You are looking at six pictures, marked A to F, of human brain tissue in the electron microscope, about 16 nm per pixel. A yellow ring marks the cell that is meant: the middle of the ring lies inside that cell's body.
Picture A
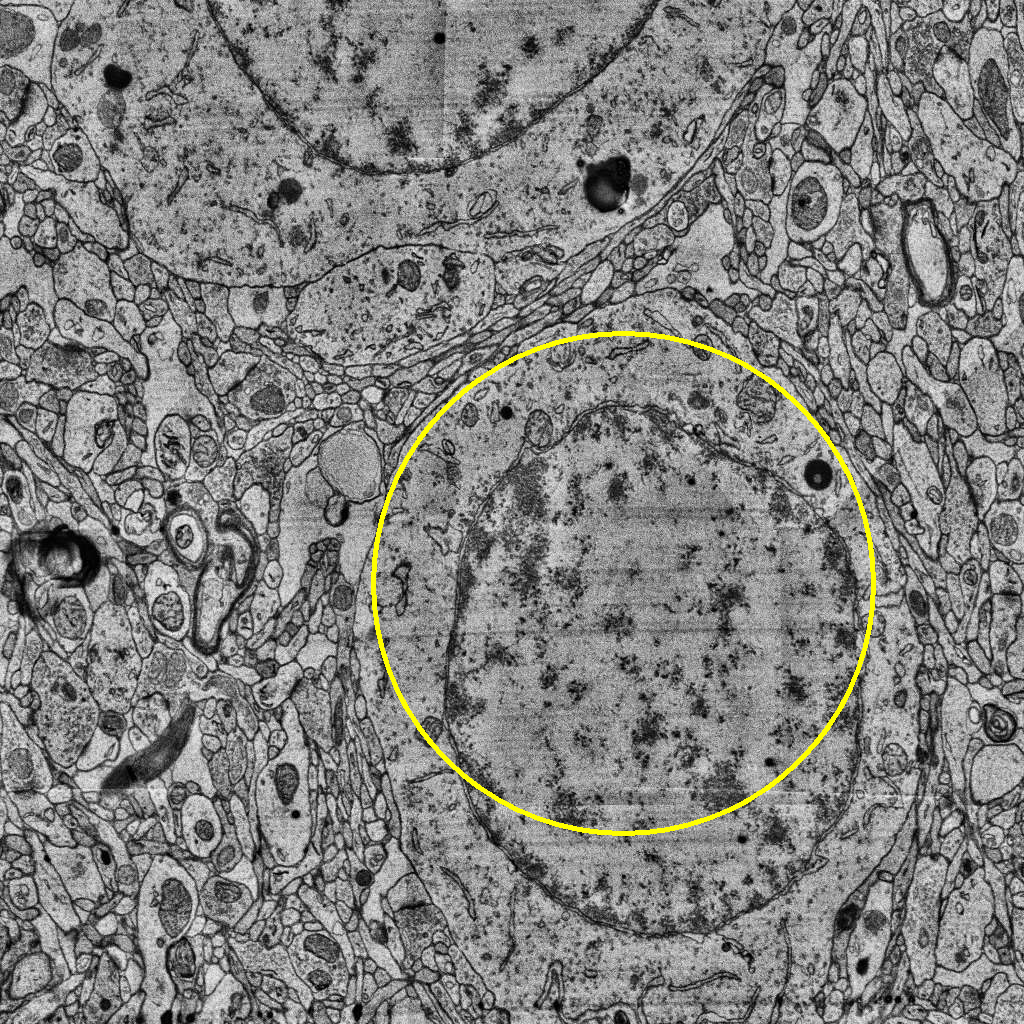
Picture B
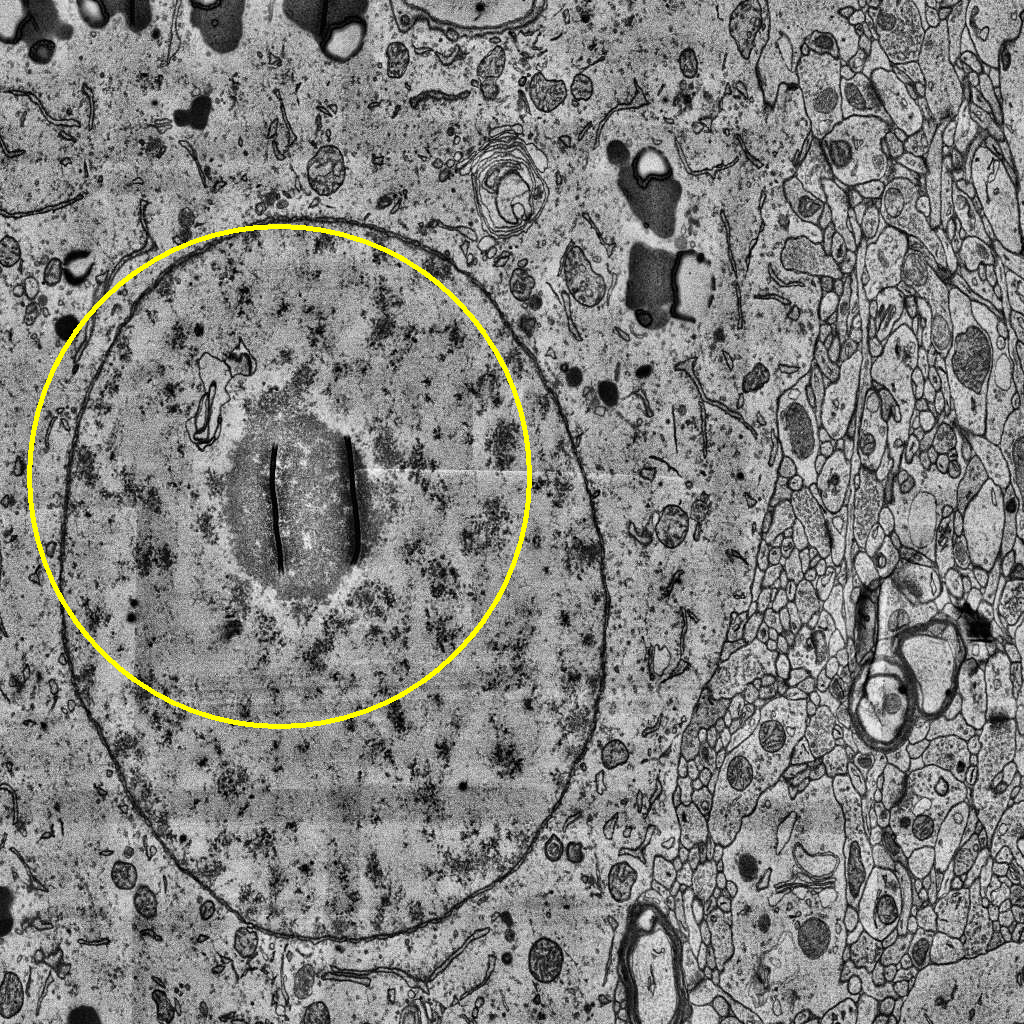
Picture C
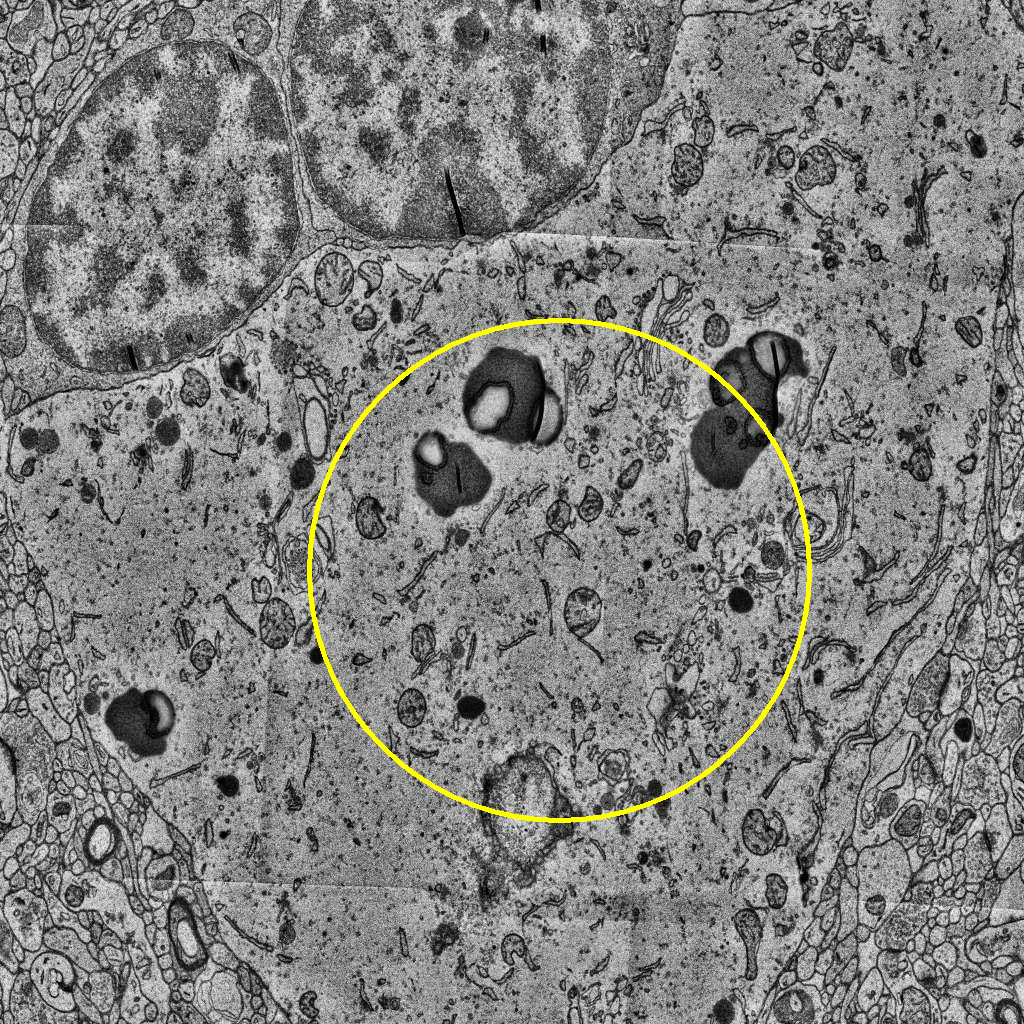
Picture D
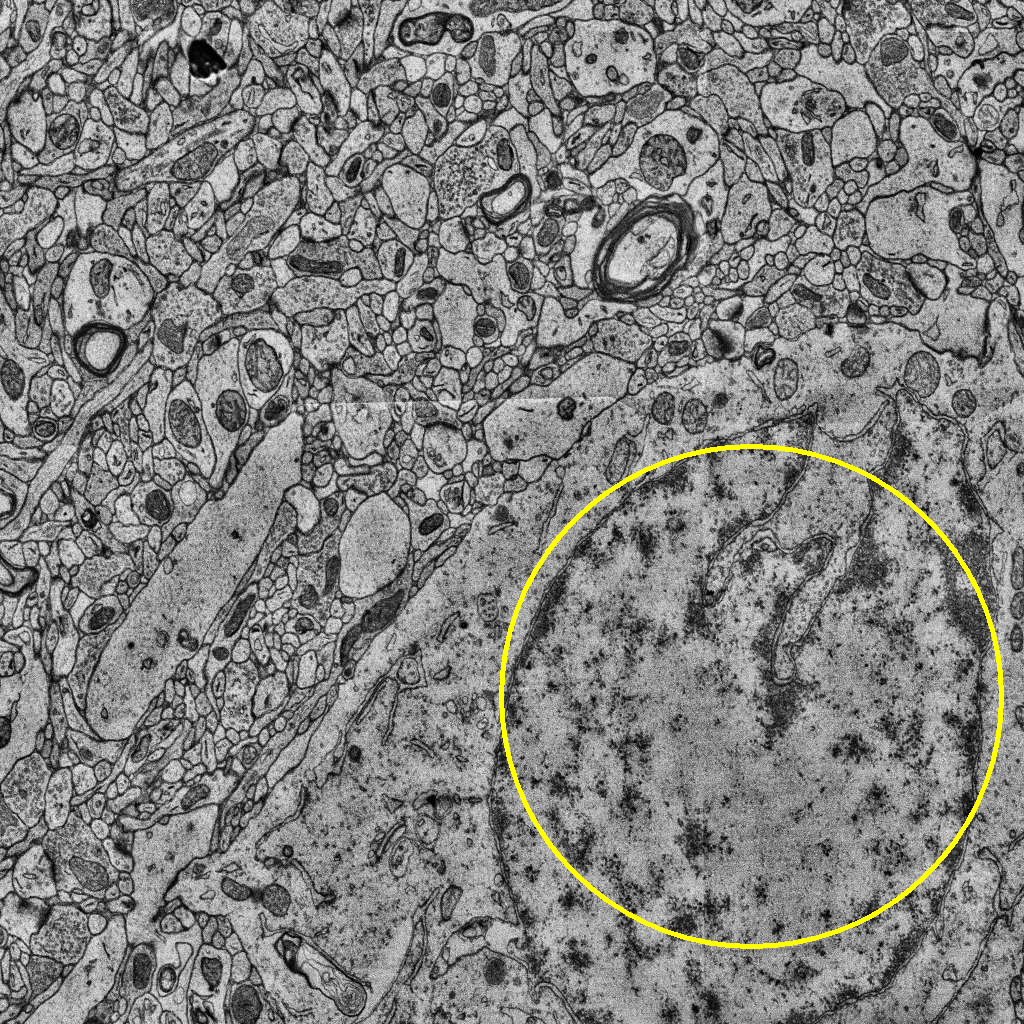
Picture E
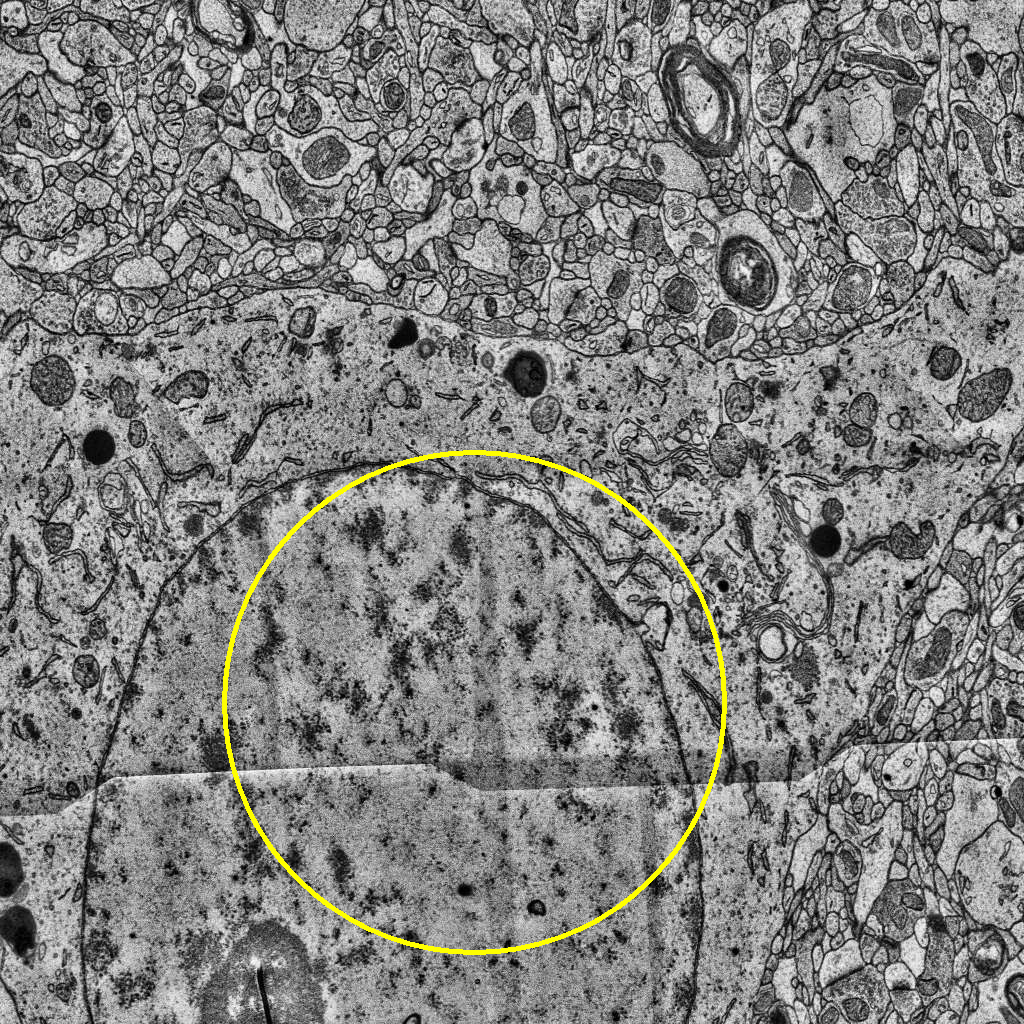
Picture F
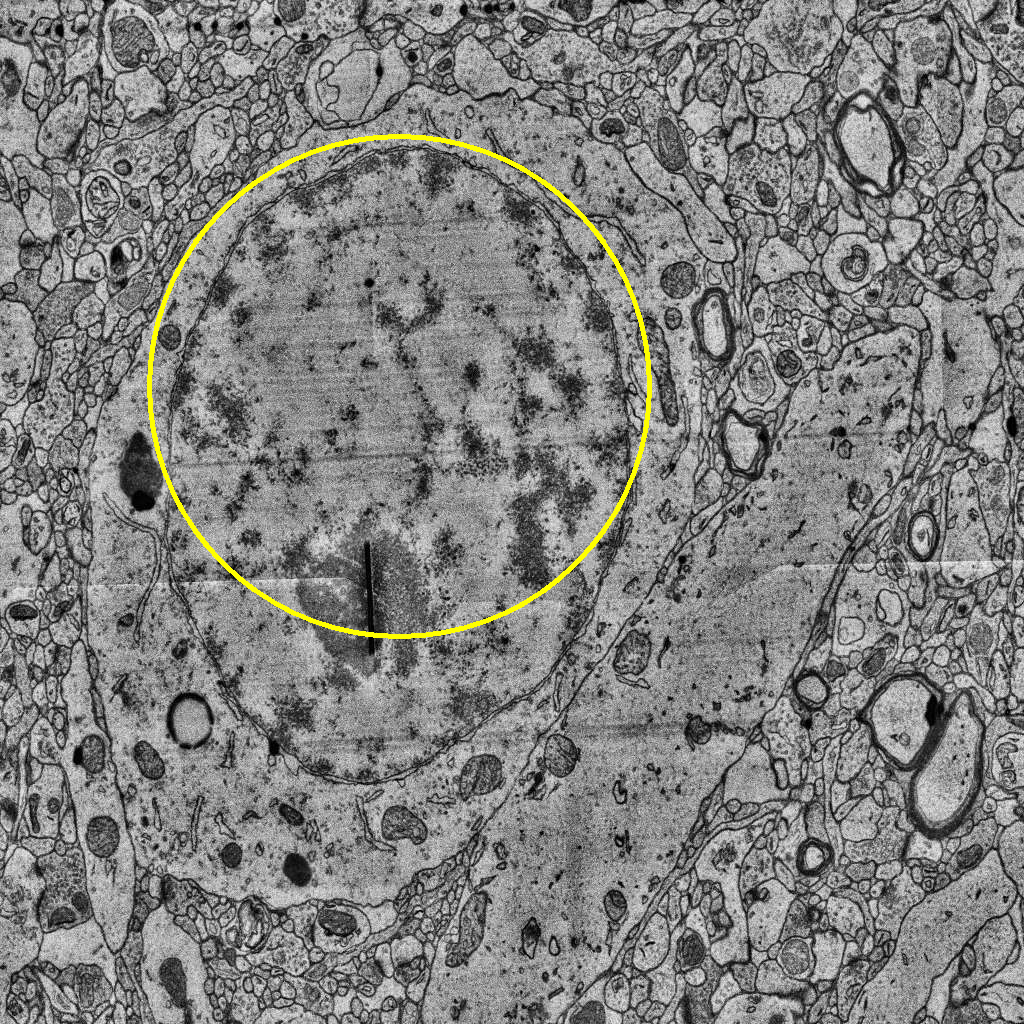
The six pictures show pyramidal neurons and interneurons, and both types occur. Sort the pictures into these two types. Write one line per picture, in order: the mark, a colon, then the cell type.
A: pyramidal neuron
B: pyramidal neuron
C: pyramidal neuron
D: interneuron
E: pyramidal neuron
F: interneuron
